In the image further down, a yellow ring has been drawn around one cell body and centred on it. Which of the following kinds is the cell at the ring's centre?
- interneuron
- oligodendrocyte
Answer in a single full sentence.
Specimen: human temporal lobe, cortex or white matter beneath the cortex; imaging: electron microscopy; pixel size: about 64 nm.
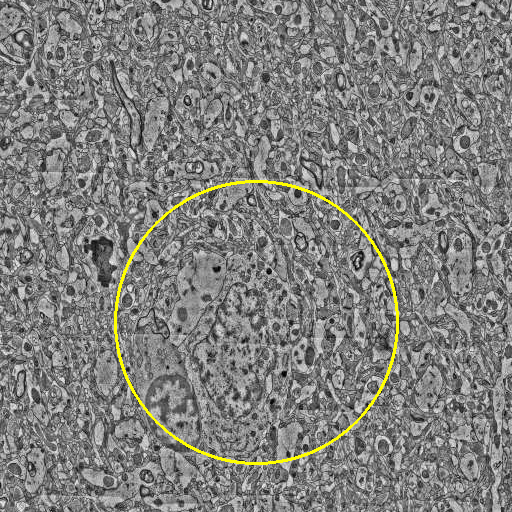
In the picture, the cell sitting at the centre of the yellow ring is an interneuron.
